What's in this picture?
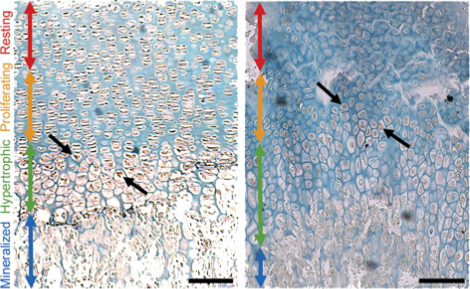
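Two growth plates of hyaline cartilage, made of chondrocytes set in lacunae within a pale blue matrix. At the top are small, rounded cells lying singly or in pairs and scattered without order. Below them the cells flatten and stack into longitudinal columns. Farther down the cells swell into large, clear, rounded forms. At the bottom the cartilage gives way to a more open, irregular zone. Small dark-stained nuclei, marked by black arrows, lie inside many of the cells.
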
